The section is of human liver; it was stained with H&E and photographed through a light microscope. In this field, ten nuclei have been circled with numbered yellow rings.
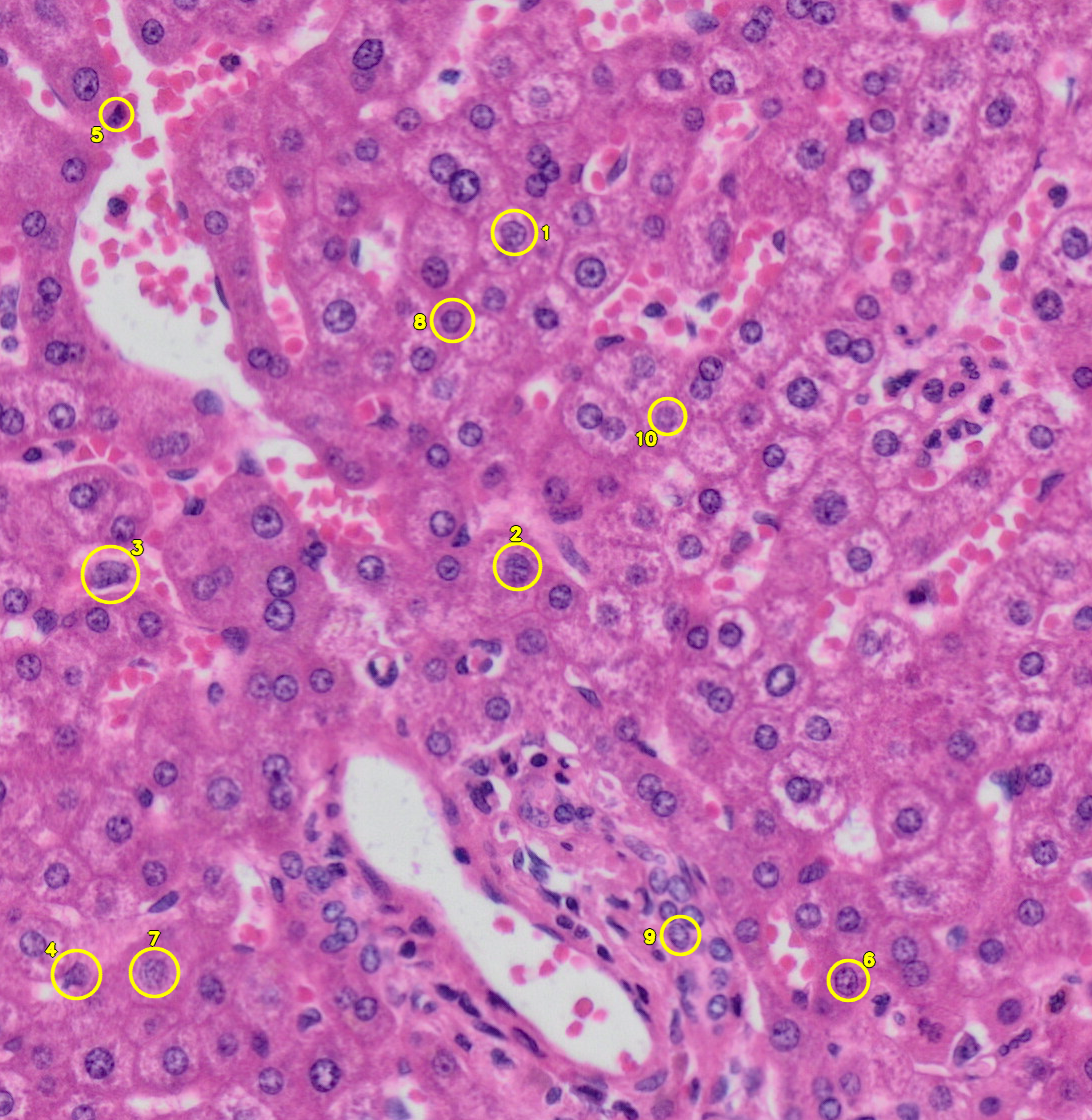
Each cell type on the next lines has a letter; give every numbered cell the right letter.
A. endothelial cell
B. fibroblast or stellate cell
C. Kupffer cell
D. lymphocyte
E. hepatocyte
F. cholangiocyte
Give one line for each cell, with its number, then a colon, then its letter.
1: E
2: E
3: C
4: A
5: B
6: E
7: E
8: E
9: F
10: E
